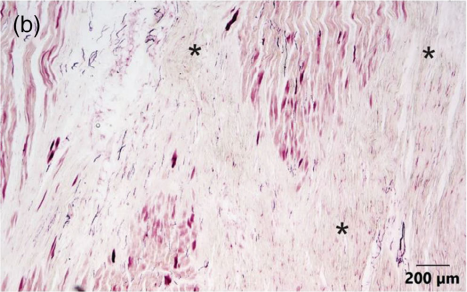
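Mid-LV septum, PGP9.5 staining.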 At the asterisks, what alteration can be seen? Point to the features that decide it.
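The asterisks lie in pale fibrous areas lacking muscle fibres. Muscle bundles lie beside these pale areas. The answer: healed scar.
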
